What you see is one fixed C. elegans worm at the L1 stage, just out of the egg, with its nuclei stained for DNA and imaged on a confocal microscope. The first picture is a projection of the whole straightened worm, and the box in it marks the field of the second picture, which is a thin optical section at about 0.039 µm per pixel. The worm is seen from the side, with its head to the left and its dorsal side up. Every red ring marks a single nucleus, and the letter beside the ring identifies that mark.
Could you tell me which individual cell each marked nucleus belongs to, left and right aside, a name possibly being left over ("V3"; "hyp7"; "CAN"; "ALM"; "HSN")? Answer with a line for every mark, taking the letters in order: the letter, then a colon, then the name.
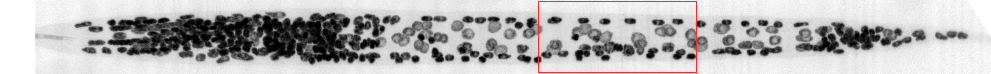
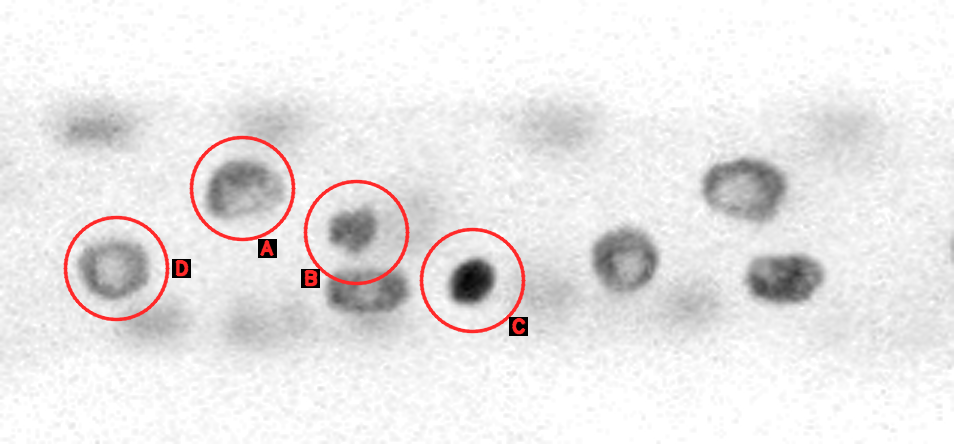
A: hyp7
B: CAN
C: HSN
D: V3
